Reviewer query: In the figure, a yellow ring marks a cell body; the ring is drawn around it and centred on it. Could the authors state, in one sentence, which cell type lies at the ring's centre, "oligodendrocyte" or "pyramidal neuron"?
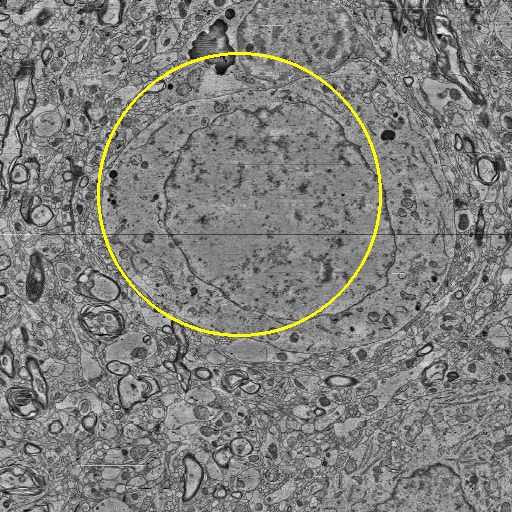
The ring is centred on a pyramidal neuron.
